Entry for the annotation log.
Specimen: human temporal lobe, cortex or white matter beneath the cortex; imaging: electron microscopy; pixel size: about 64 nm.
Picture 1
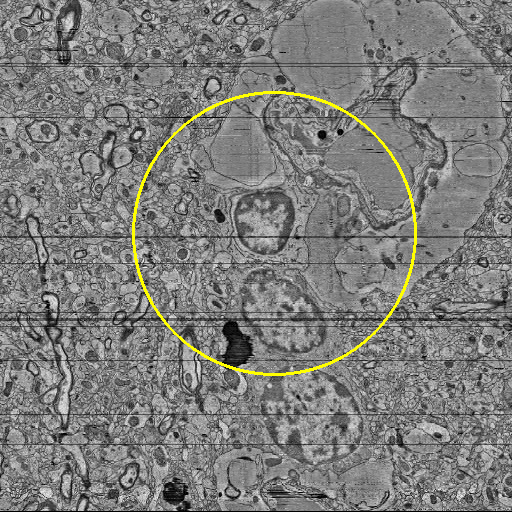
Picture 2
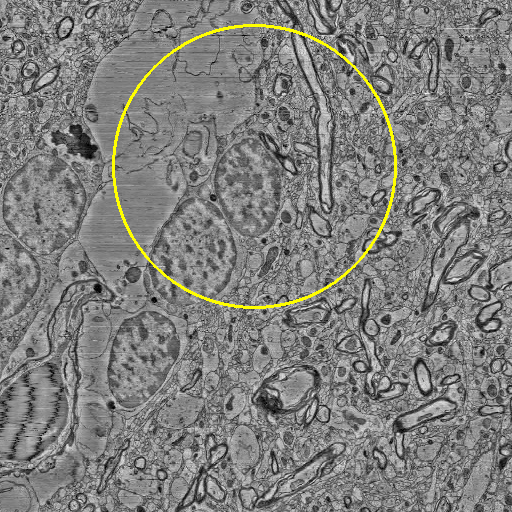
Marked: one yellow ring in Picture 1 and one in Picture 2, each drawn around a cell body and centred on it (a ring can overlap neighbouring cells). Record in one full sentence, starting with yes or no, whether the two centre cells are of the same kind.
No, the two cells are of two kinds.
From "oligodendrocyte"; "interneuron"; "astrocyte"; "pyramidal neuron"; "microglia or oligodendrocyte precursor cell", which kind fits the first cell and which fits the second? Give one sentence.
The cell marked in the first picture is a microglial cell or oligodendrocyte precursor cell, and the one marked in the second is an oligodendrocyte.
